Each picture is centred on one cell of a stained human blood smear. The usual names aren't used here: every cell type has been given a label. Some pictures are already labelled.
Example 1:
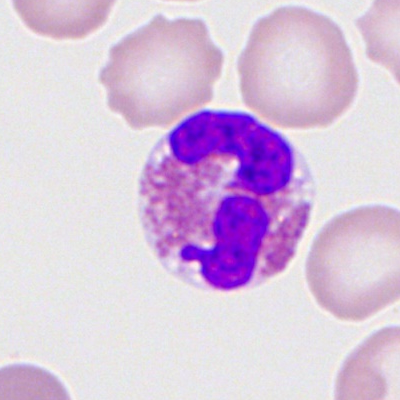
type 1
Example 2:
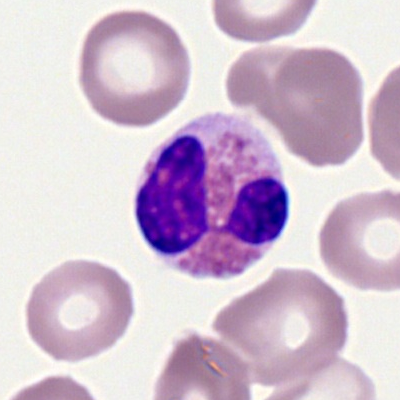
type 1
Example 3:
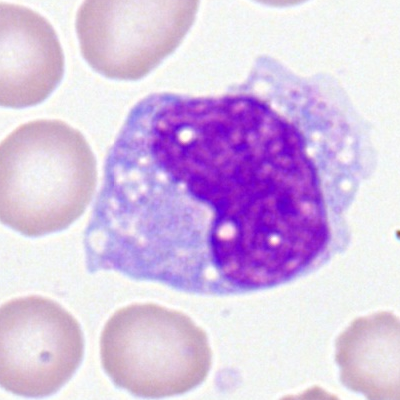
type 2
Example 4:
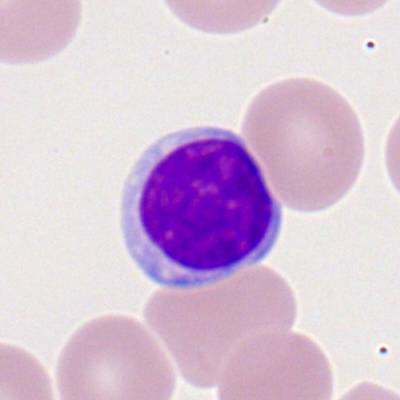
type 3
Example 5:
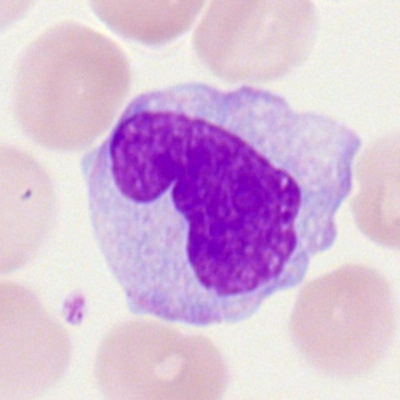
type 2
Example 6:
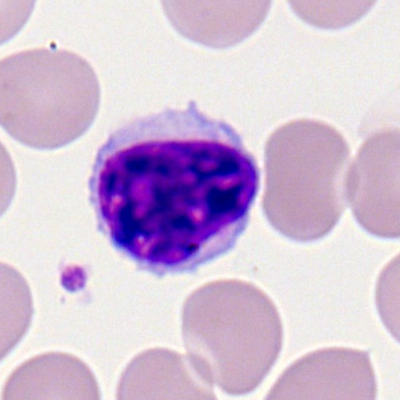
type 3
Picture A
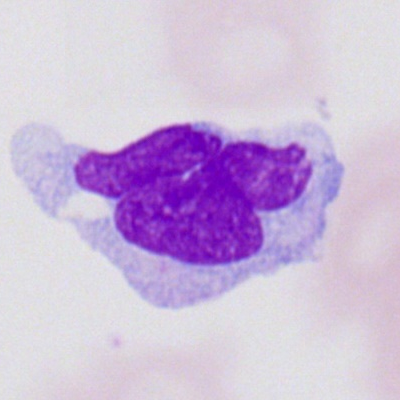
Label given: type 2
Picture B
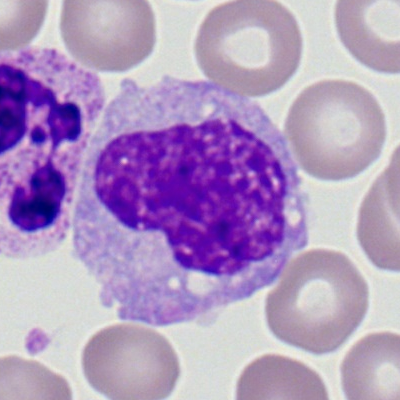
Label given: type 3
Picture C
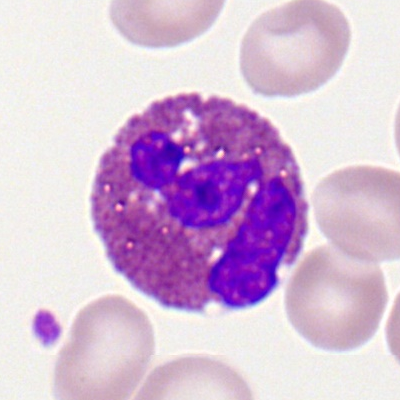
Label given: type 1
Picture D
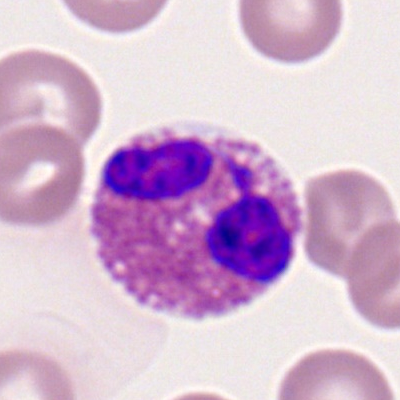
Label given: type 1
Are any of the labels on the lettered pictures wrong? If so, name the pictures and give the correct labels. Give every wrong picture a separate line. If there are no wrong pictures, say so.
B: type 2, not type 3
